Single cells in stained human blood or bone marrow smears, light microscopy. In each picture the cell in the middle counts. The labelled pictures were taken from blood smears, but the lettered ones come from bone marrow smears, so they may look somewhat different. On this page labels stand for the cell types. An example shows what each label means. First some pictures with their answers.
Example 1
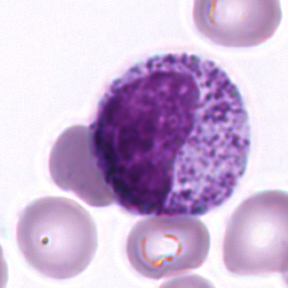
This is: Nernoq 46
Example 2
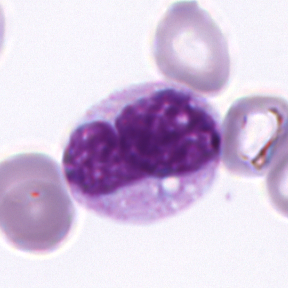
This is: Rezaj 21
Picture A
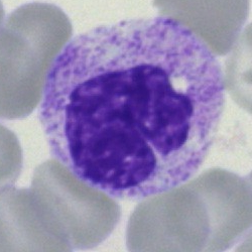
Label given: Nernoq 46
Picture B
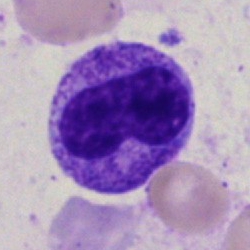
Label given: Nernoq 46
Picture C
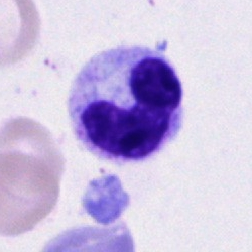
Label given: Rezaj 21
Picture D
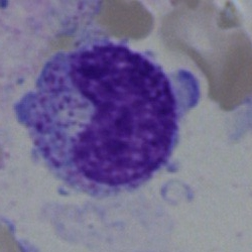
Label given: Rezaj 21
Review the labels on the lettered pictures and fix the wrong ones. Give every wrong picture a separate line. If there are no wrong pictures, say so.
B is labelled Nernoq 46; correct label: Rezaj 21
D is labelled Rezaj 21; correct label: Nernoq 46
